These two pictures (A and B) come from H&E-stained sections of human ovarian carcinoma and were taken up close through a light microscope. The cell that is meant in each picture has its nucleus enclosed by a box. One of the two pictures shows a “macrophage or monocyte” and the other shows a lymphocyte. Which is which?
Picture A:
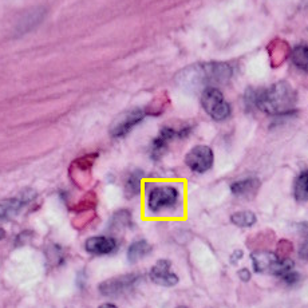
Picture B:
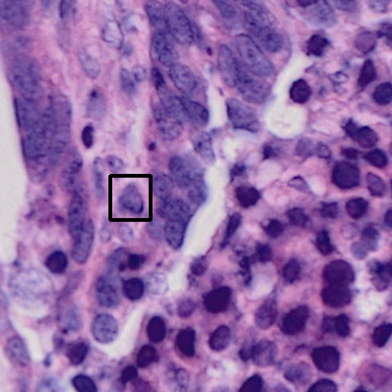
A: lymphocyte
B: macrophage or monocyte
